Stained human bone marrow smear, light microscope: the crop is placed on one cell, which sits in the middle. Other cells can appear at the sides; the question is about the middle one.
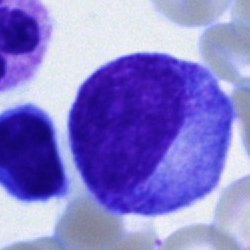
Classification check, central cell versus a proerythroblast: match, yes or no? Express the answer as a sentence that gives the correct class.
No, the central cell is a promyelocyte, not a proerythroblast.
